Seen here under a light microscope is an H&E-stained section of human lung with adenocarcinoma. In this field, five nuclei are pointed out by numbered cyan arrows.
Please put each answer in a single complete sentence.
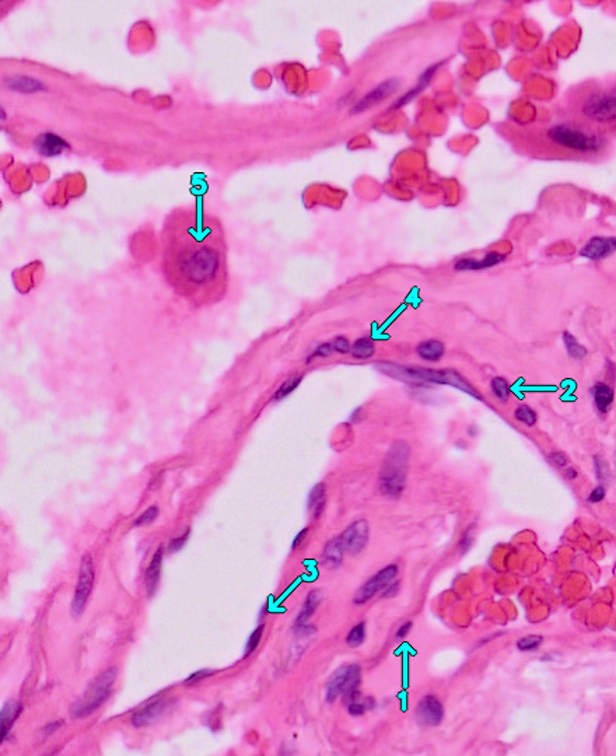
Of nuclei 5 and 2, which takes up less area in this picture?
The smaller nucleus is 2, and 5 covers roughly 3 times its area.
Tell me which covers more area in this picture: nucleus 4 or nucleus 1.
Nucleus 4 is larger, with an area about 2 times that of nucleus 1.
